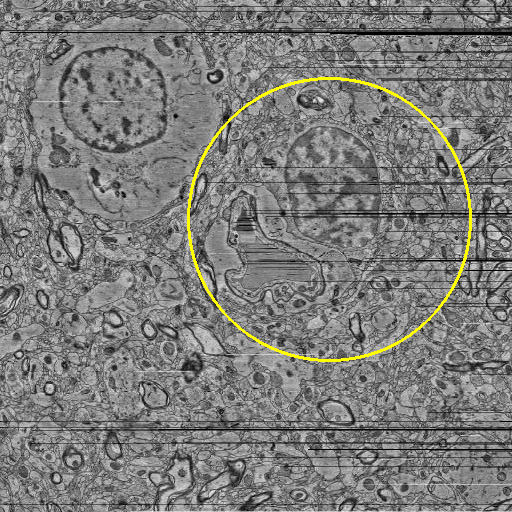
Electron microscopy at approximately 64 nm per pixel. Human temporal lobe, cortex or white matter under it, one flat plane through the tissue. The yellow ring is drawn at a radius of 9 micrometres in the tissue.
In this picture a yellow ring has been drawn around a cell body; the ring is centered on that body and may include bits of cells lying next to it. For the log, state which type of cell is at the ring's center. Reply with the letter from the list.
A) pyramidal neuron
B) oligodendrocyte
B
